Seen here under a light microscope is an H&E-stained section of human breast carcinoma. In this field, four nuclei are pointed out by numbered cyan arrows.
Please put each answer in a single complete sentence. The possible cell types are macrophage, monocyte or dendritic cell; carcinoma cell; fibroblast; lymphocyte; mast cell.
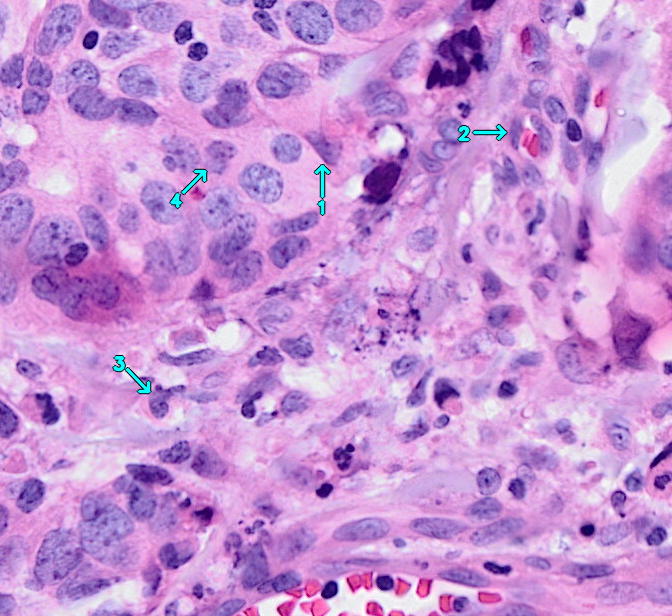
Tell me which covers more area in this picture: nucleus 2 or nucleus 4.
Nucleus 4 covers more area, about 2 times as much as nucleus 2.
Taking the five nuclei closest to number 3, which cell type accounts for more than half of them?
The majority of the five nuclei closest to number 3 belong to macrophages, monocytes or dendritic cells.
